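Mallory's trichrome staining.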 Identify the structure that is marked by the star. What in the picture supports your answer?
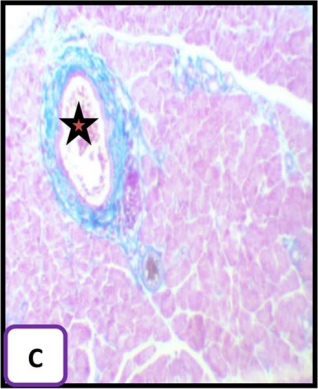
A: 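Interlobular duct. The lumen is lined by a thin epithelium and ringed by a thick blue-stained connective tissue wall. It lies in a septum among pale acinar tissue.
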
